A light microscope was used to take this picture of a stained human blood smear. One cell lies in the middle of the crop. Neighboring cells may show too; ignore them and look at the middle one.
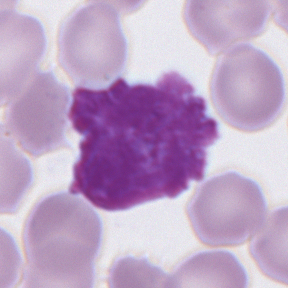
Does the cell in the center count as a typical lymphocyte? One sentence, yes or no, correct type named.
No, the cell at the centre is a smudge cell, which rules out a typical lymphocyte.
